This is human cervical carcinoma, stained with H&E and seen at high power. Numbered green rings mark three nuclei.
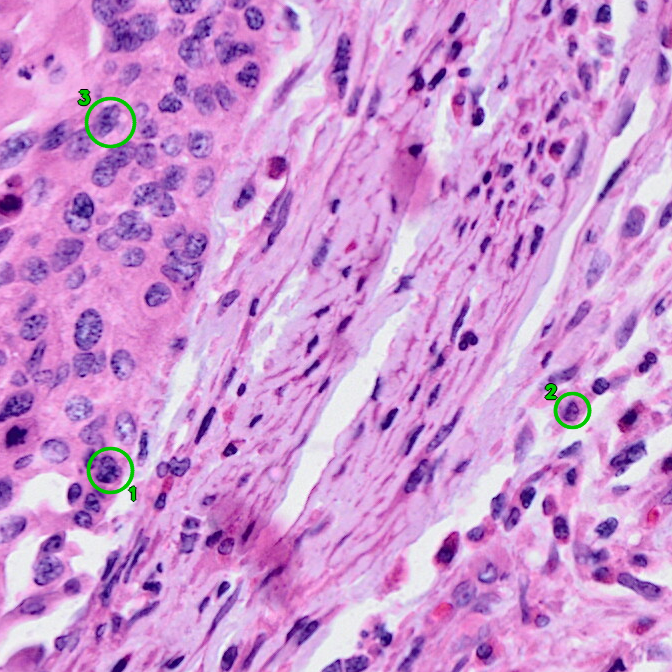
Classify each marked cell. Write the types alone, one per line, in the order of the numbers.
squamous carcinoma cell
macrophage or monocyte
squamous carcinoma cell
